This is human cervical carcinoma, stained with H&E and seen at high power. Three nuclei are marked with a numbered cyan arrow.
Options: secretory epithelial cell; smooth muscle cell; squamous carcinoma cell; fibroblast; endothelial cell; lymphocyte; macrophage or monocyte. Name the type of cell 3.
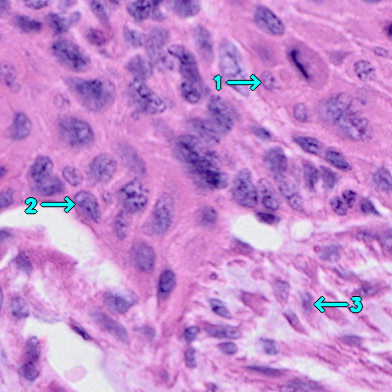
fibroblast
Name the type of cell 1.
squamous carcinoma cell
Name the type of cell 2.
squamous carcinoma cell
